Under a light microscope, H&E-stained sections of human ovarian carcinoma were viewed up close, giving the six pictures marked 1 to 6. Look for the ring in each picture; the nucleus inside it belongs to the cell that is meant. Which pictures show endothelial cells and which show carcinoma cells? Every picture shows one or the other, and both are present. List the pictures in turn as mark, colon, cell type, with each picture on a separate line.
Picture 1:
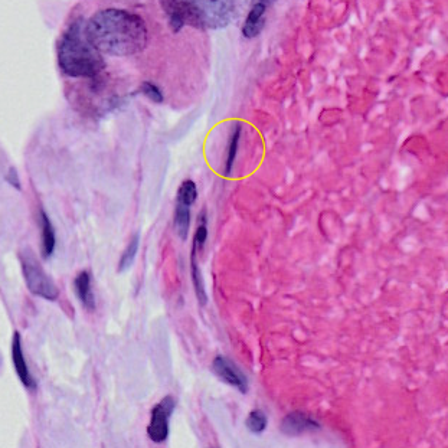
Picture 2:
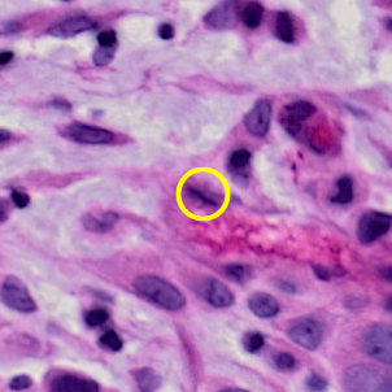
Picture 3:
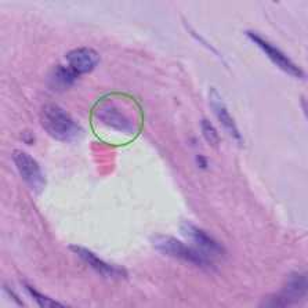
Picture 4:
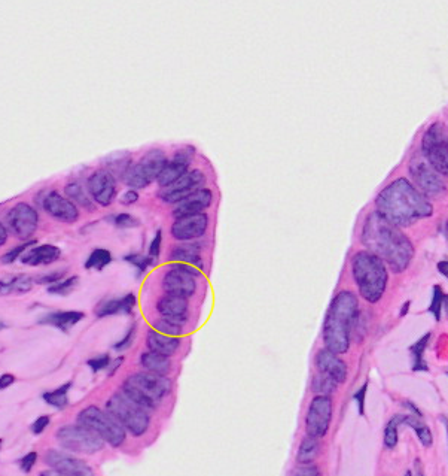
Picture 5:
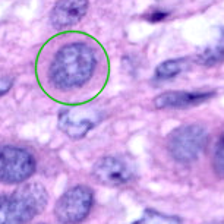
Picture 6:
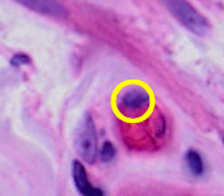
1: endothelial cell
2: endothelial cell
3: endothelial cell
4: carcinoma cell
5: carcinoma cell
6: endothelial cell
